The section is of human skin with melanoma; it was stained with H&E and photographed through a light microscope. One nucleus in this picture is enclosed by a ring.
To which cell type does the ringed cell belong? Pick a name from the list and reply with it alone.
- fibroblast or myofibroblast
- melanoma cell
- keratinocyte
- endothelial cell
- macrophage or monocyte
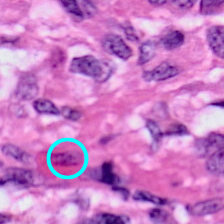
endothelial cell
